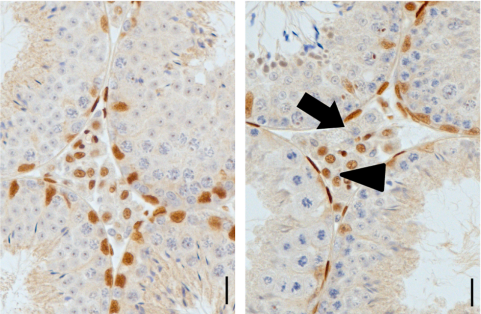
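Tubules show layered germ cells with pale blue nuclei and elongated spermatids toward the lumen. Flattened peritubular cells along the tubule borders have slender, strongly brown nuclei. On the left, nearly all interstitial cells carry dark brown round nuclei. On the right, the interstitial cluster is mixed: some cells keep brown nuclei while neighbouring cells have only pale blue nuclei. Sertoli-like nuclei at the tubule base are also brown in places.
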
